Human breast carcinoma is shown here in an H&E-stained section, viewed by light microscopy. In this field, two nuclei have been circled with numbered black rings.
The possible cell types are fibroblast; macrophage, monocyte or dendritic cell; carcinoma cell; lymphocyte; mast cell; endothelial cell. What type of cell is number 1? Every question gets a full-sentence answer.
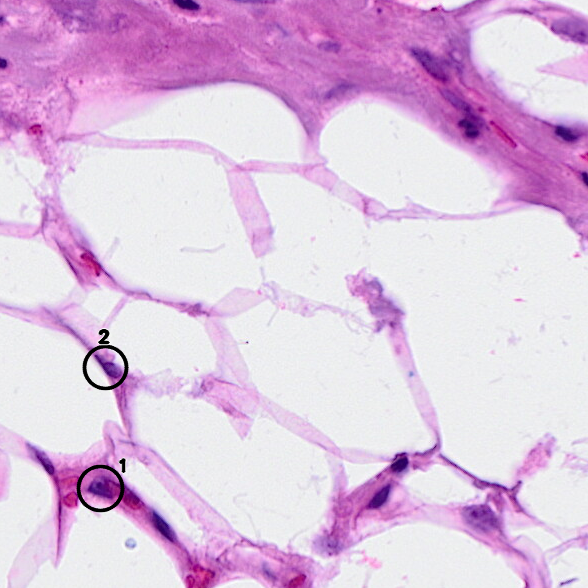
Belonging to an endothelial cell is the nucleus that carries the number 1.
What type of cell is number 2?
As for number 2, that cell is a fibroblast.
